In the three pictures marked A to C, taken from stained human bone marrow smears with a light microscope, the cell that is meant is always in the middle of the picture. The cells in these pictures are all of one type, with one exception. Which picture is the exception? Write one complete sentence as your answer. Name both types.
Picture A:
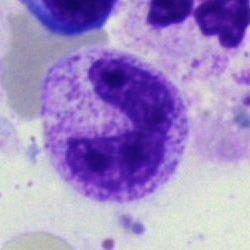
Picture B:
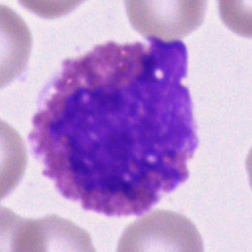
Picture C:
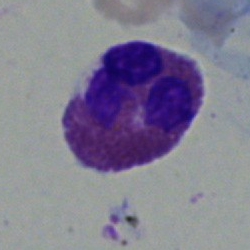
Unlike the rest, which show eosinophils, picture A shows a band neutrophil.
